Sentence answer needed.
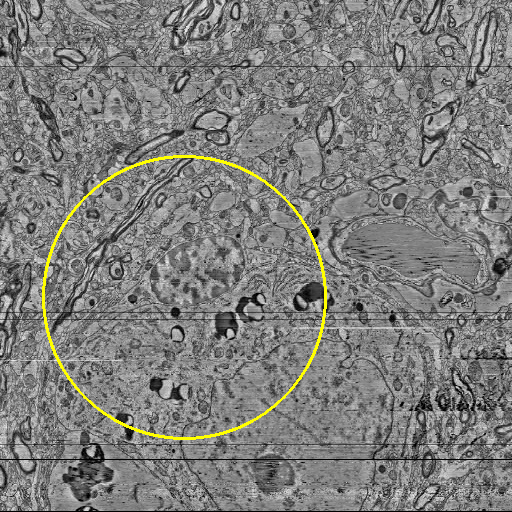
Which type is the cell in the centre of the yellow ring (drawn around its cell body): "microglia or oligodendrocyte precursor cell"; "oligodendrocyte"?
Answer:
In the centre of the yellow ring is a microglial cell or oligodendrocyte precursor cell.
